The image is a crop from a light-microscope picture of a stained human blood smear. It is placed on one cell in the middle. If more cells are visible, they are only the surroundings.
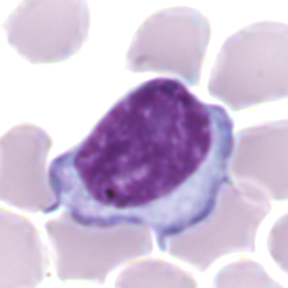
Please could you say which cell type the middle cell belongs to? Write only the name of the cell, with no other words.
plasma cell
